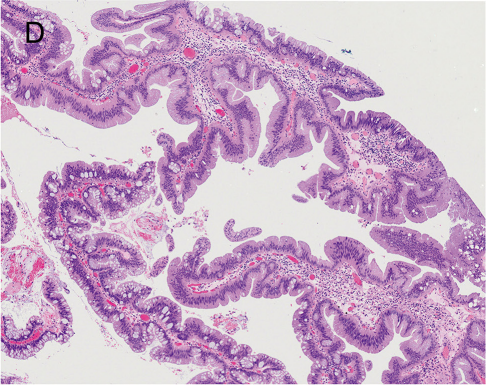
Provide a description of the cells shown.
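This shows villiform fronds of a traditional serrated adenoma lined by tall columnar epithelium. The lining cells have abundant eosinophilic, bright pink cytoplasm with elongated nuclei lined up near the base. The epithelial surfaces are serrated with a saw-tooth outline, and small crypts bud off along the sides of the fronds. The fronds have cores of loose pink stroma containing small blood vessels, and scattered goblet cells are present.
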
